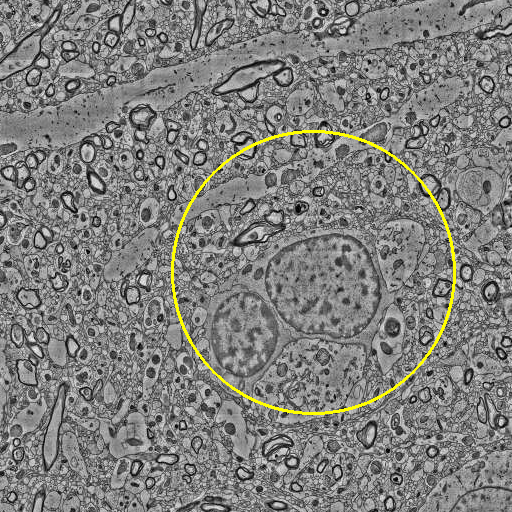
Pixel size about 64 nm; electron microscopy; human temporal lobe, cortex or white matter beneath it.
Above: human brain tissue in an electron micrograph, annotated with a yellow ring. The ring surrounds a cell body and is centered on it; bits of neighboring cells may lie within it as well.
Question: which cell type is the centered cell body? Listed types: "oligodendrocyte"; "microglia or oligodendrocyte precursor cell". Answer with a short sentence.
The centered cell body is an oligodendrocyte.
